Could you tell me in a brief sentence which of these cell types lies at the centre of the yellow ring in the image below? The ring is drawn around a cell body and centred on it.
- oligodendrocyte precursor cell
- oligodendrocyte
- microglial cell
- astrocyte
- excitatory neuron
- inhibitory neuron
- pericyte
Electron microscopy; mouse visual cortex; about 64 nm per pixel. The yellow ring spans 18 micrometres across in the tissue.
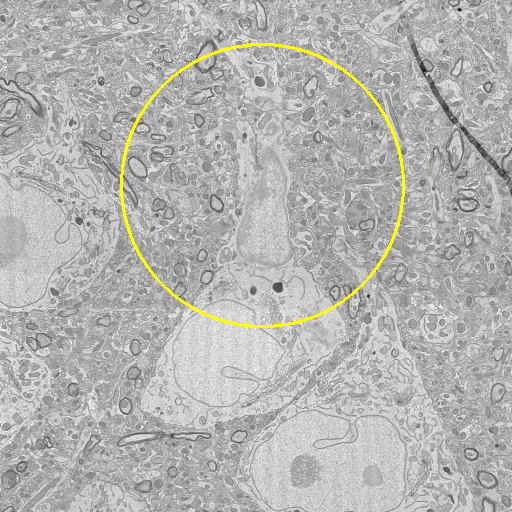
The cell centred in the ring is an oligodendrocyte precursor cell.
